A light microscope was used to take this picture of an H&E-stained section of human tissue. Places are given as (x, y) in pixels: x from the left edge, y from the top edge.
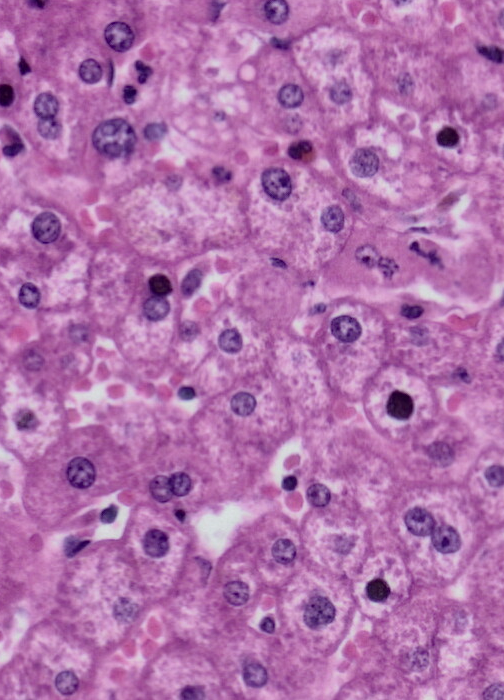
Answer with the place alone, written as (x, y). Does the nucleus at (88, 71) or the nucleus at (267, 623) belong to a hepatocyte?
(88, 71)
